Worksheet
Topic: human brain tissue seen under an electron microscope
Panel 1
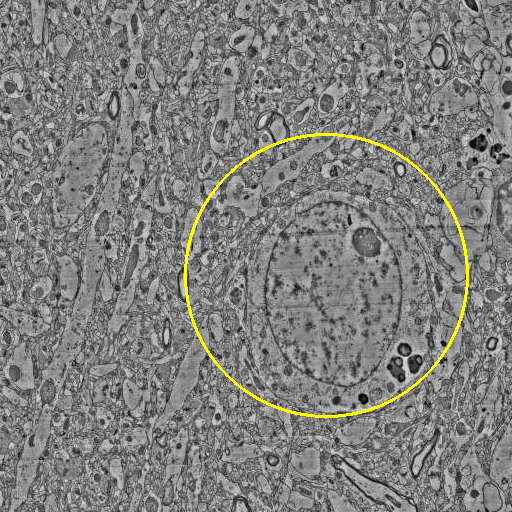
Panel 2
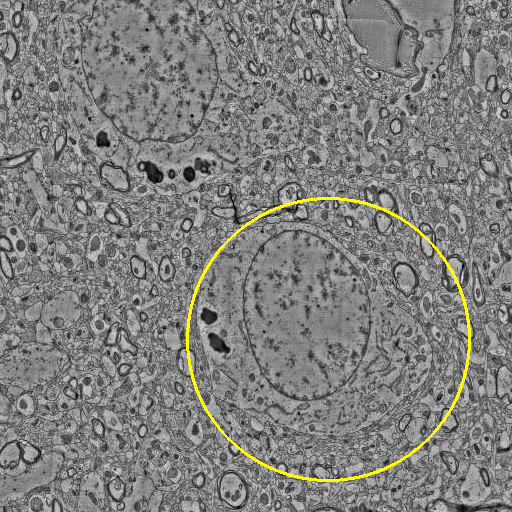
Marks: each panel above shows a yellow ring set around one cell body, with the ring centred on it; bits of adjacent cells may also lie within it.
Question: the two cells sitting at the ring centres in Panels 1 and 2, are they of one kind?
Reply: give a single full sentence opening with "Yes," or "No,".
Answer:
Yes, the two ring-centre cells in Panel 1 and Panel 2 are of one kind.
